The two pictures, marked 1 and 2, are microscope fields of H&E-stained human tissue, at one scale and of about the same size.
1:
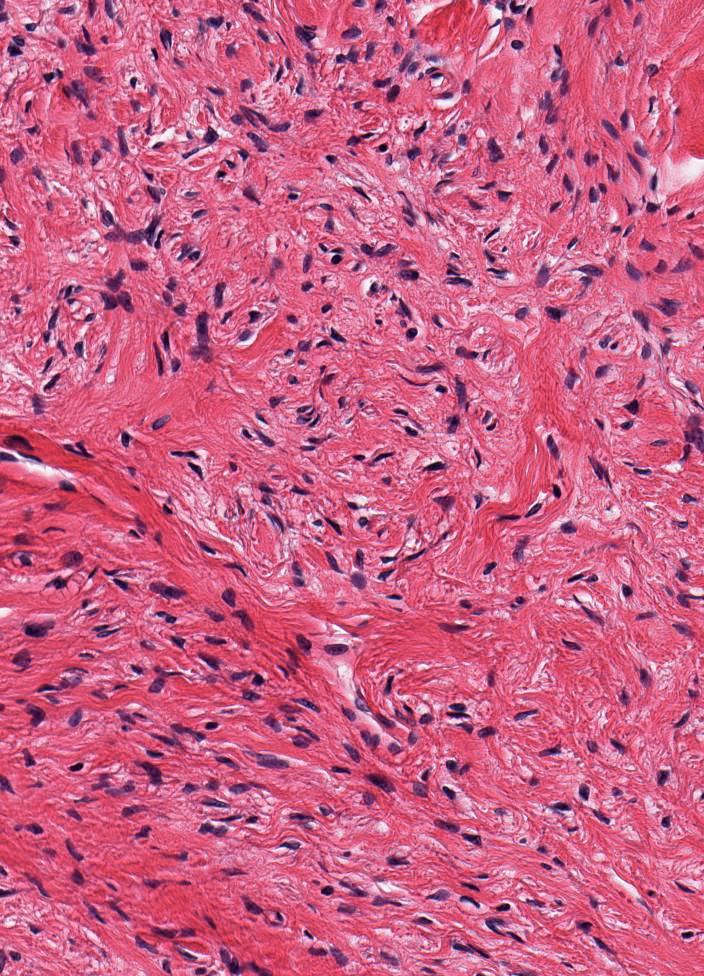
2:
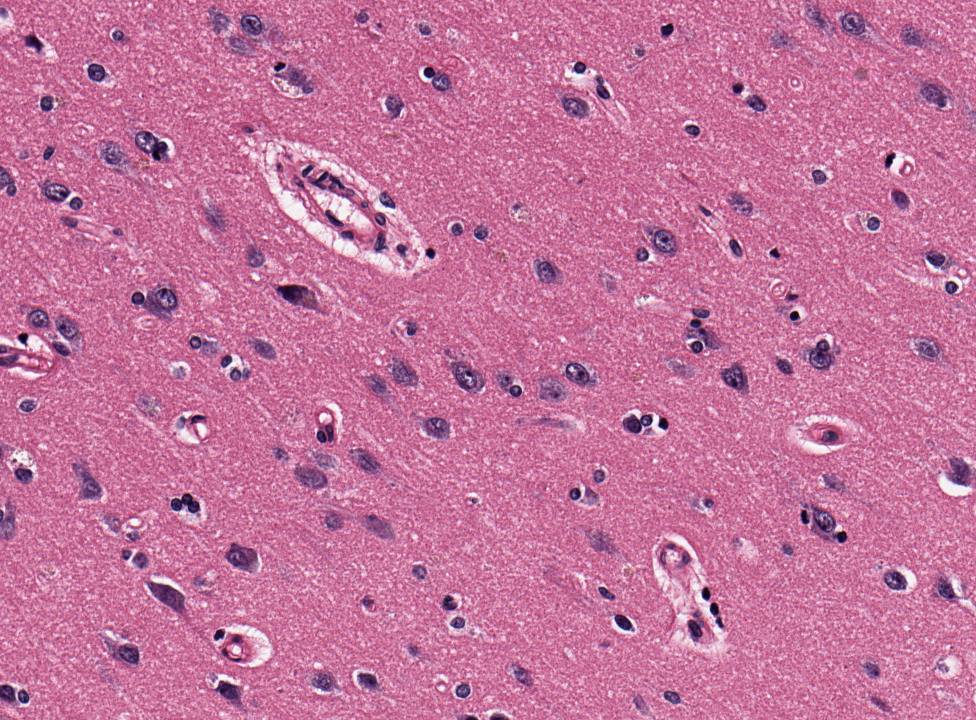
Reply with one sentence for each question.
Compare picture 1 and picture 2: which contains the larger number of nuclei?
The larger number of nuclei is in picture 1.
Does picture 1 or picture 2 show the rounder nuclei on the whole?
The nuclei are rounder in picture 2.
